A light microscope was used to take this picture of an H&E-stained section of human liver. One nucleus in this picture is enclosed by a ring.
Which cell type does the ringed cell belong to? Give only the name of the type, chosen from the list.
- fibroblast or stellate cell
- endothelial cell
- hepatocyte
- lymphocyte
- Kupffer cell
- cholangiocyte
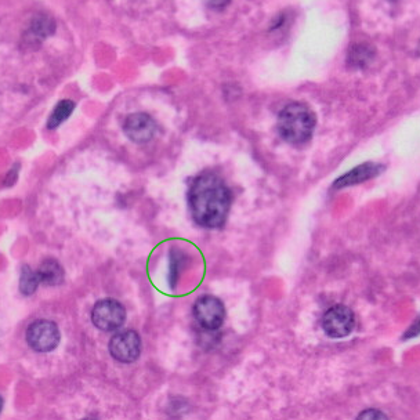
endothelial cell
